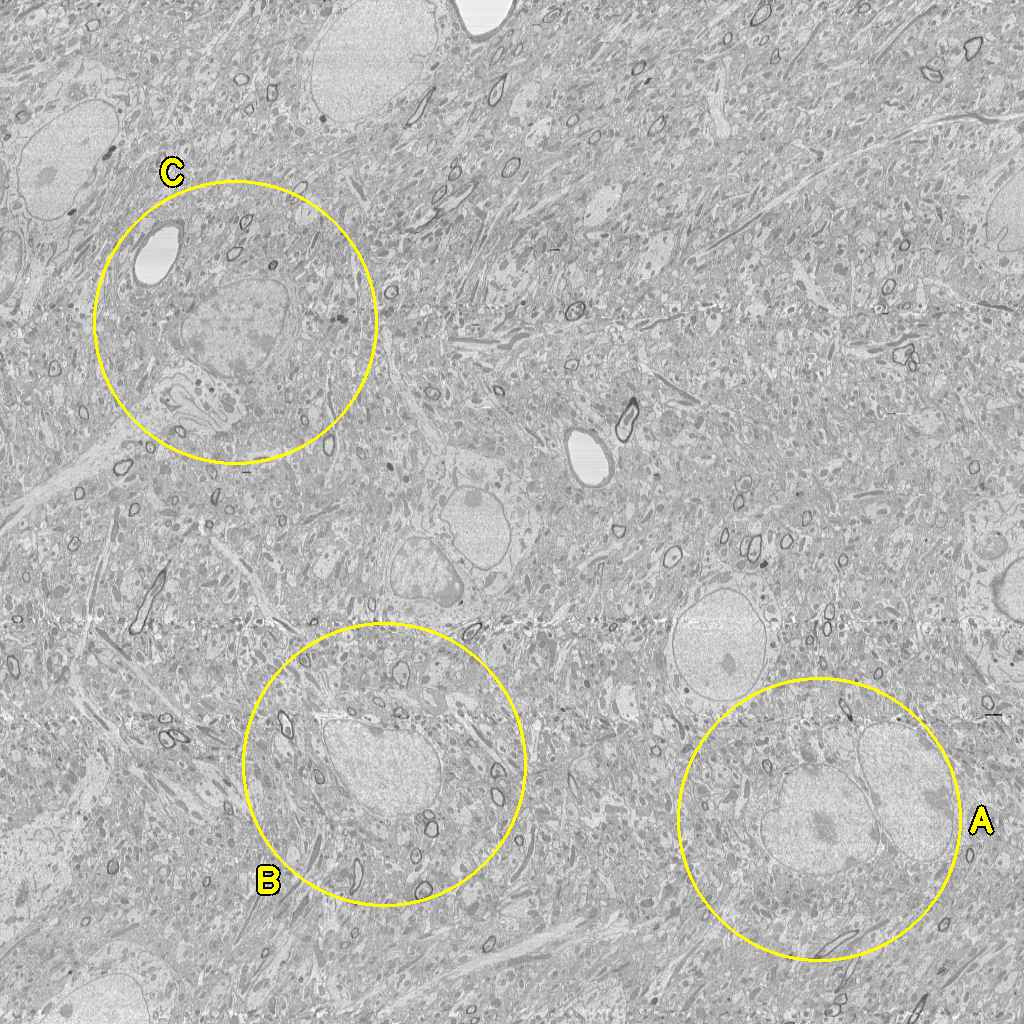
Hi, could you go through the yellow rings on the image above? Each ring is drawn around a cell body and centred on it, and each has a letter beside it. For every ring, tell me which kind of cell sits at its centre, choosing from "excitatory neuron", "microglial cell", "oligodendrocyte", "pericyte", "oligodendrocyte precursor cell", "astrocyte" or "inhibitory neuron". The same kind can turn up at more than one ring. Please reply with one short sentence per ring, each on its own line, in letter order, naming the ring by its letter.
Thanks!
Ring A is centred on an astrocyte.
Ring B is centred on an astrocyte.
Ring C is centred on an oligodendrocyte.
